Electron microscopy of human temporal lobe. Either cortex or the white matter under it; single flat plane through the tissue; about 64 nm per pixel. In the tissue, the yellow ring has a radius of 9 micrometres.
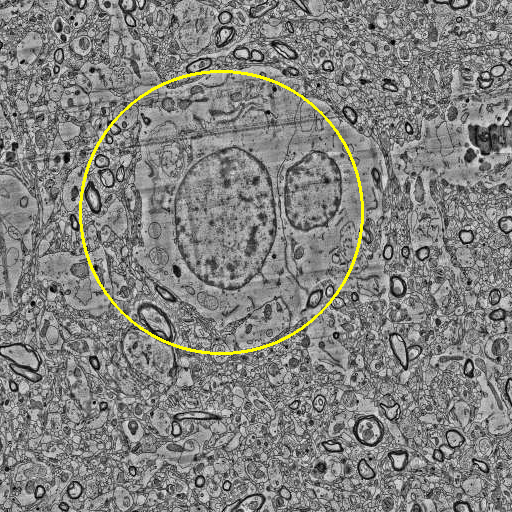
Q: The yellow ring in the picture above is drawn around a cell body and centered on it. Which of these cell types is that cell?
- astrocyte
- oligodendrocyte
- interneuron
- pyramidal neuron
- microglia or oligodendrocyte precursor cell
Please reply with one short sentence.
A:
The cell body at the ring's center belongs to an astrocyte.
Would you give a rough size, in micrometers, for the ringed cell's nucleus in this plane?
In this plane the nucleus is about 9 micrometres by 7.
